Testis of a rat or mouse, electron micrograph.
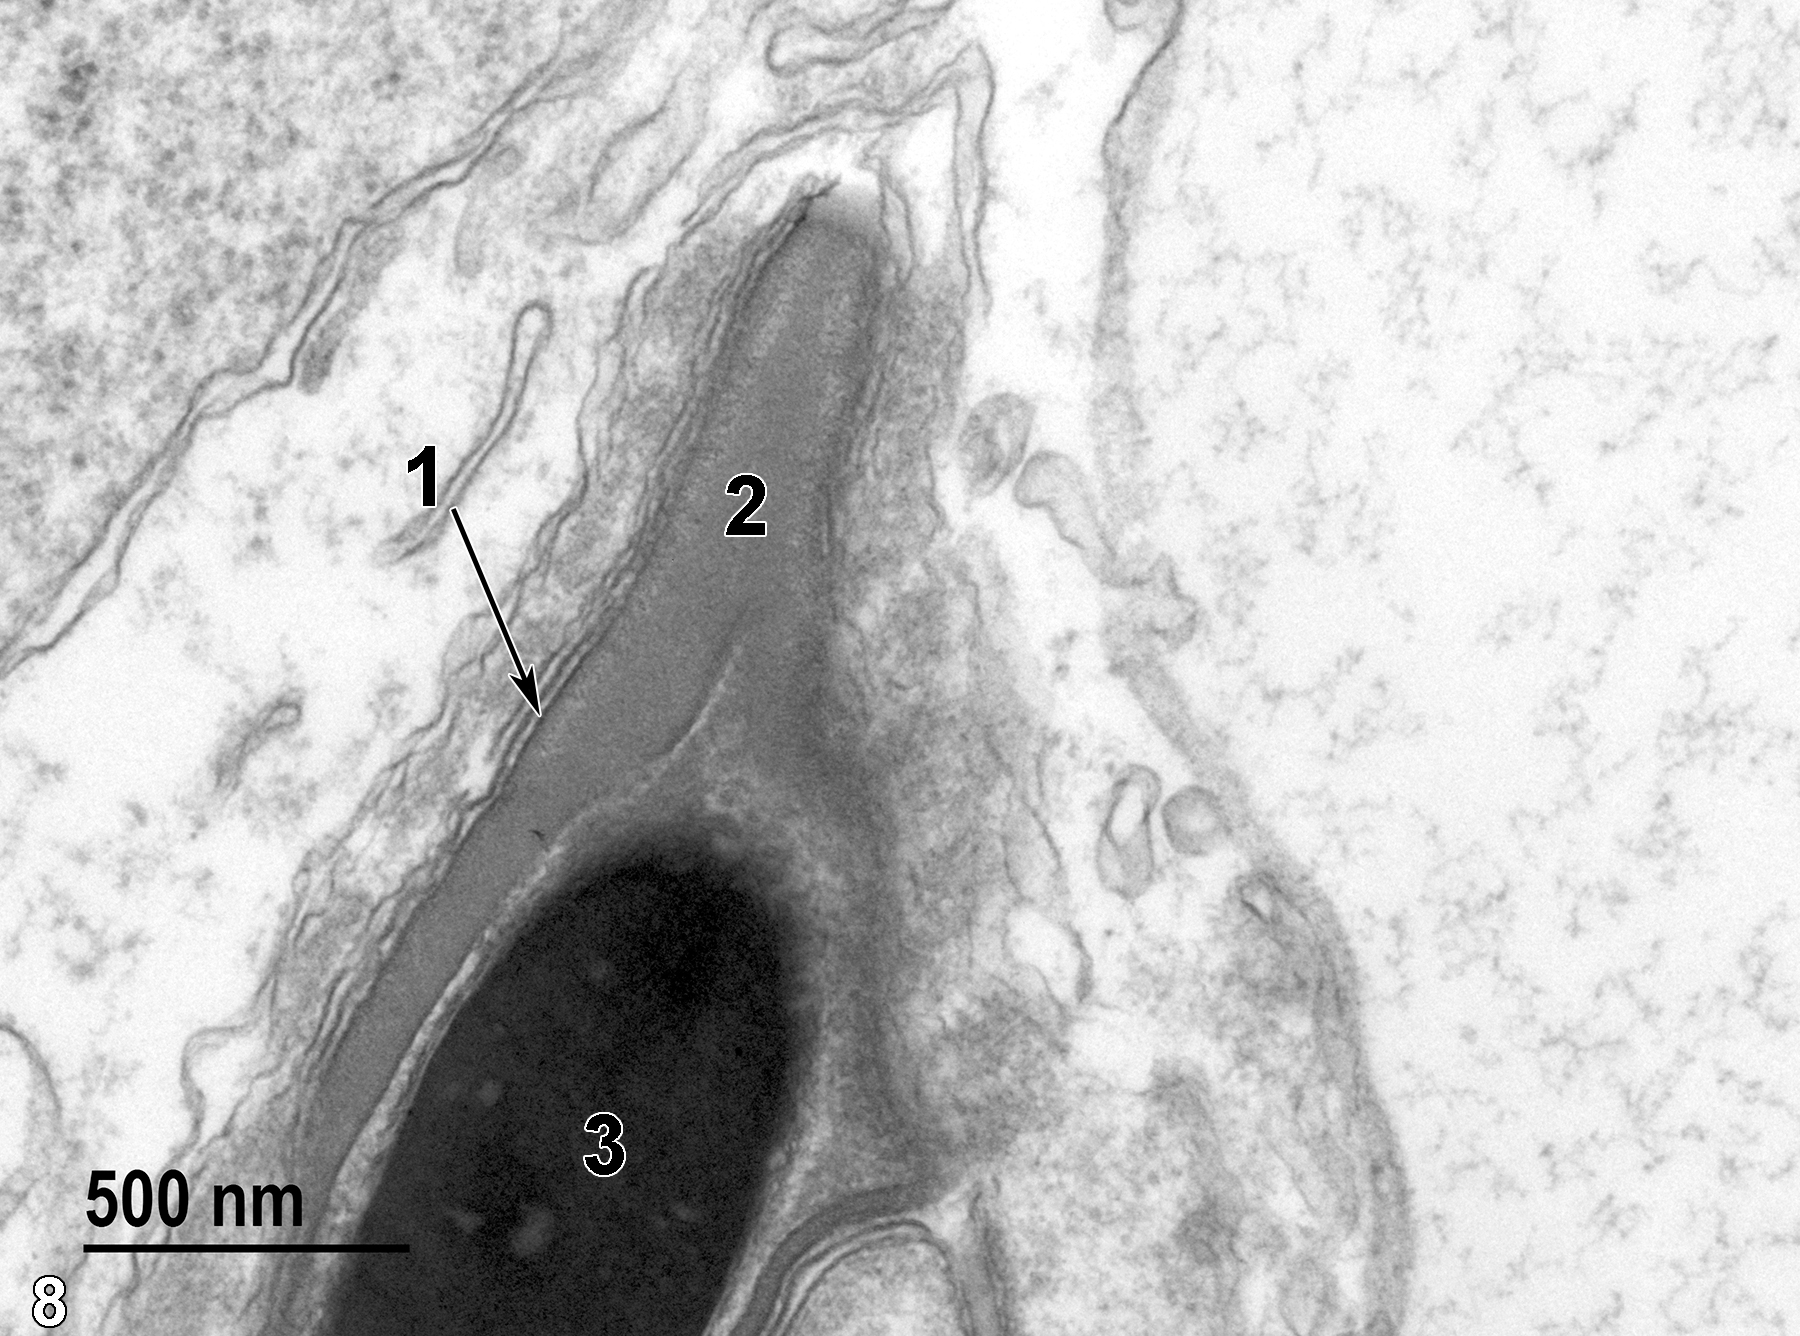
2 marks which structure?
Acrosomal cap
